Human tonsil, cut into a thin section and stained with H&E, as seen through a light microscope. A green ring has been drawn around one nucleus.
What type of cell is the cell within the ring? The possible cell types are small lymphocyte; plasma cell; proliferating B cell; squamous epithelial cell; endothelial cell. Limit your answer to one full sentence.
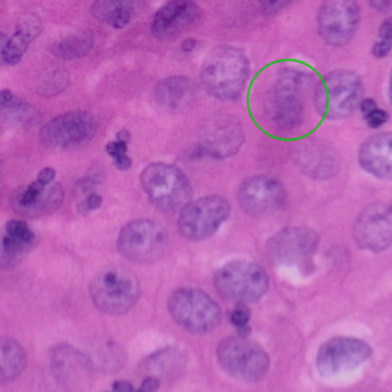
Within the stained tissue, the cell within the ring is a squamous epithelial cell.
